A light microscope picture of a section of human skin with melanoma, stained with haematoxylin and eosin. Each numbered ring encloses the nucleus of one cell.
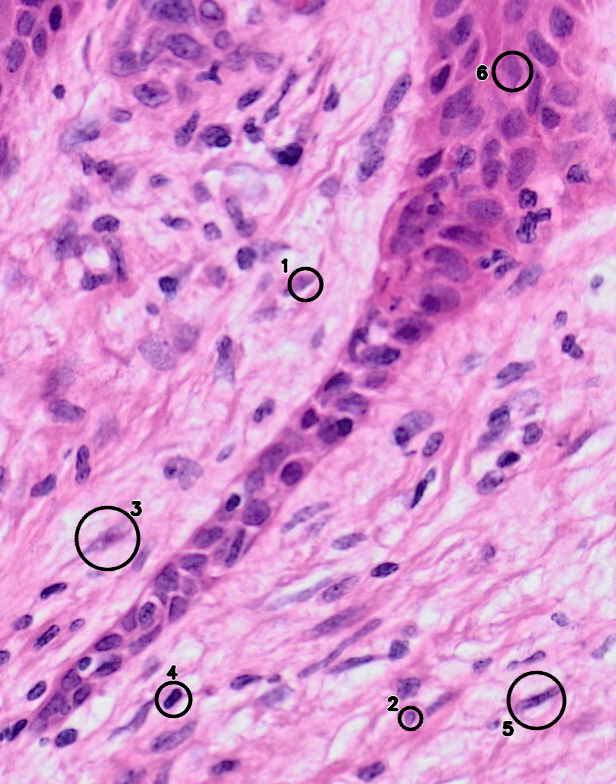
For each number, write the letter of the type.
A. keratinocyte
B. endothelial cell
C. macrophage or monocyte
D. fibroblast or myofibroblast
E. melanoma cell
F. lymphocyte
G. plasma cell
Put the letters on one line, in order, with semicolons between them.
D; C; D; F; D; A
